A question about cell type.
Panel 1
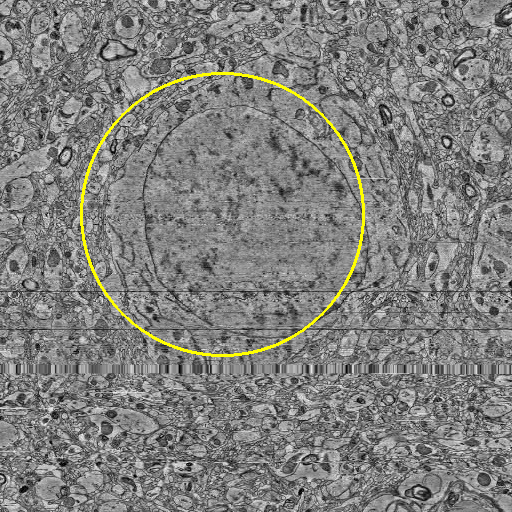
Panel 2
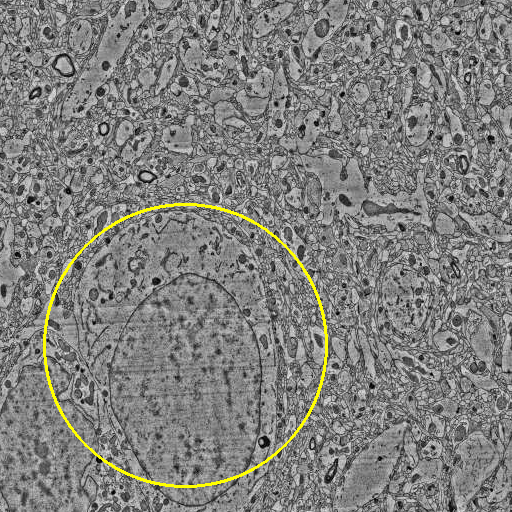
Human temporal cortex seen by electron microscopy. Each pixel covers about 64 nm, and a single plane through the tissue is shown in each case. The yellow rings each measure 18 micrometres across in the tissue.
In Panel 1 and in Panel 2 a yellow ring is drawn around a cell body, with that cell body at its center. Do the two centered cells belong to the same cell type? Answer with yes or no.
yes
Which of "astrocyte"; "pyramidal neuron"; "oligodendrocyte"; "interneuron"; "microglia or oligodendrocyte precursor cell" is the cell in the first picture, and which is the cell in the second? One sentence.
The cell in the first picture is a pyramidal neuron, and so is the one in the second.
